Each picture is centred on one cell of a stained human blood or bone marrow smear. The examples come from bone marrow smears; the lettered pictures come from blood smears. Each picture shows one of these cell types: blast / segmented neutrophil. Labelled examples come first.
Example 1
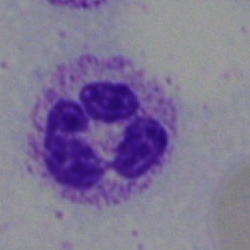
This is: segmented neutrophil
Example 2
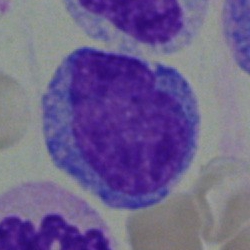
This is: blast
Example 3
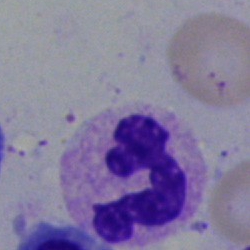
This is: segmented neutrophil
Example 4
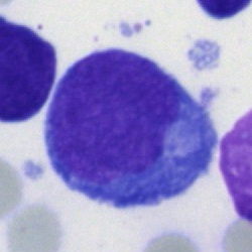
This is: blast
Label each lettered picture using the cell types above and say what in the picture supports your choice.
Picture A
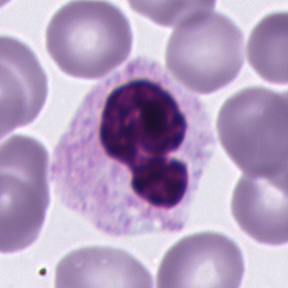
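segmented neutrophil. Reason: The smaller lobe of the nucleus lies below the larger lobe.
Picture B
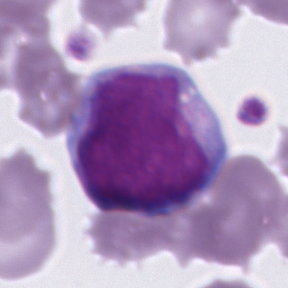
blast. Reason: The cytoplasm forms a narrow rim that is widest on the right side of the cell.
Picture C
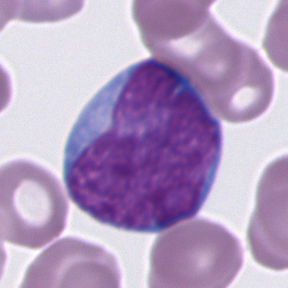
blast. Reason: The nucleus fills most of the cell, leaving a crescent of cytoplasm on the left side.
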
